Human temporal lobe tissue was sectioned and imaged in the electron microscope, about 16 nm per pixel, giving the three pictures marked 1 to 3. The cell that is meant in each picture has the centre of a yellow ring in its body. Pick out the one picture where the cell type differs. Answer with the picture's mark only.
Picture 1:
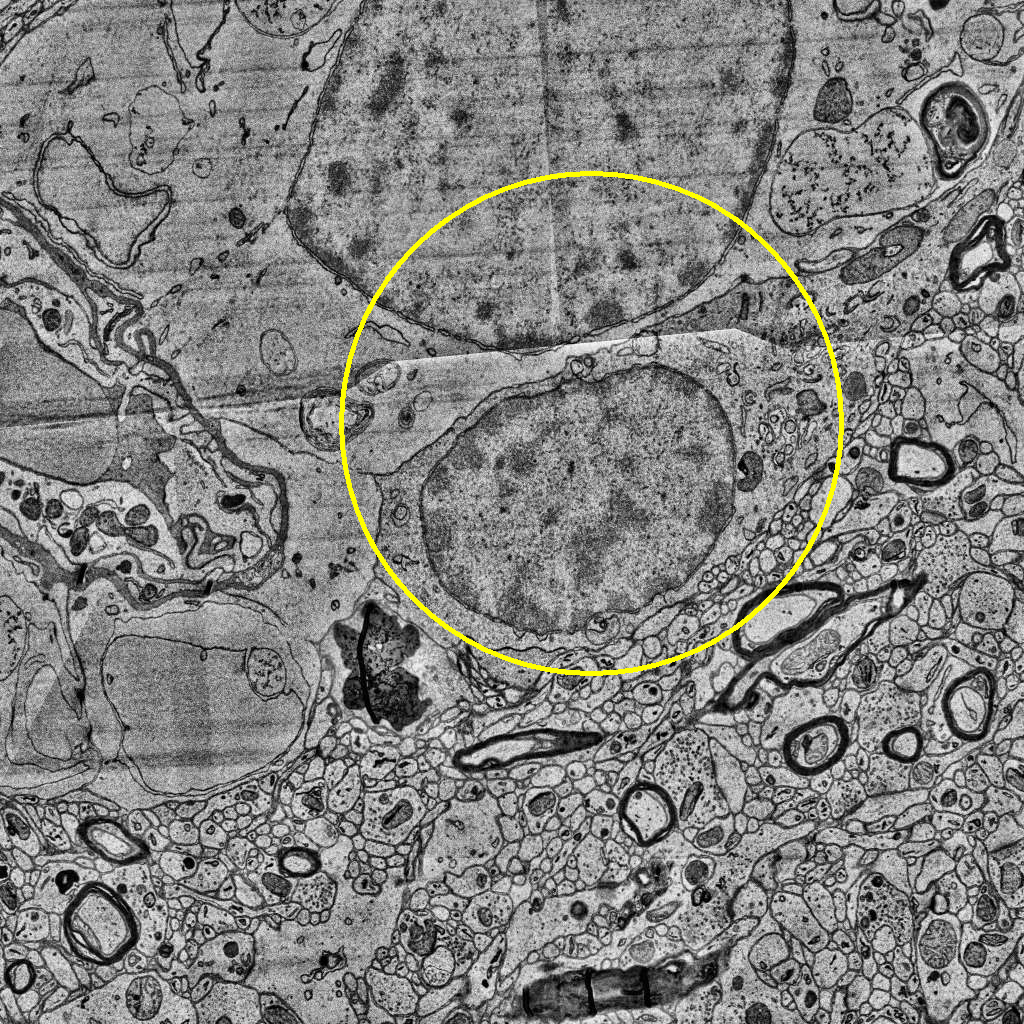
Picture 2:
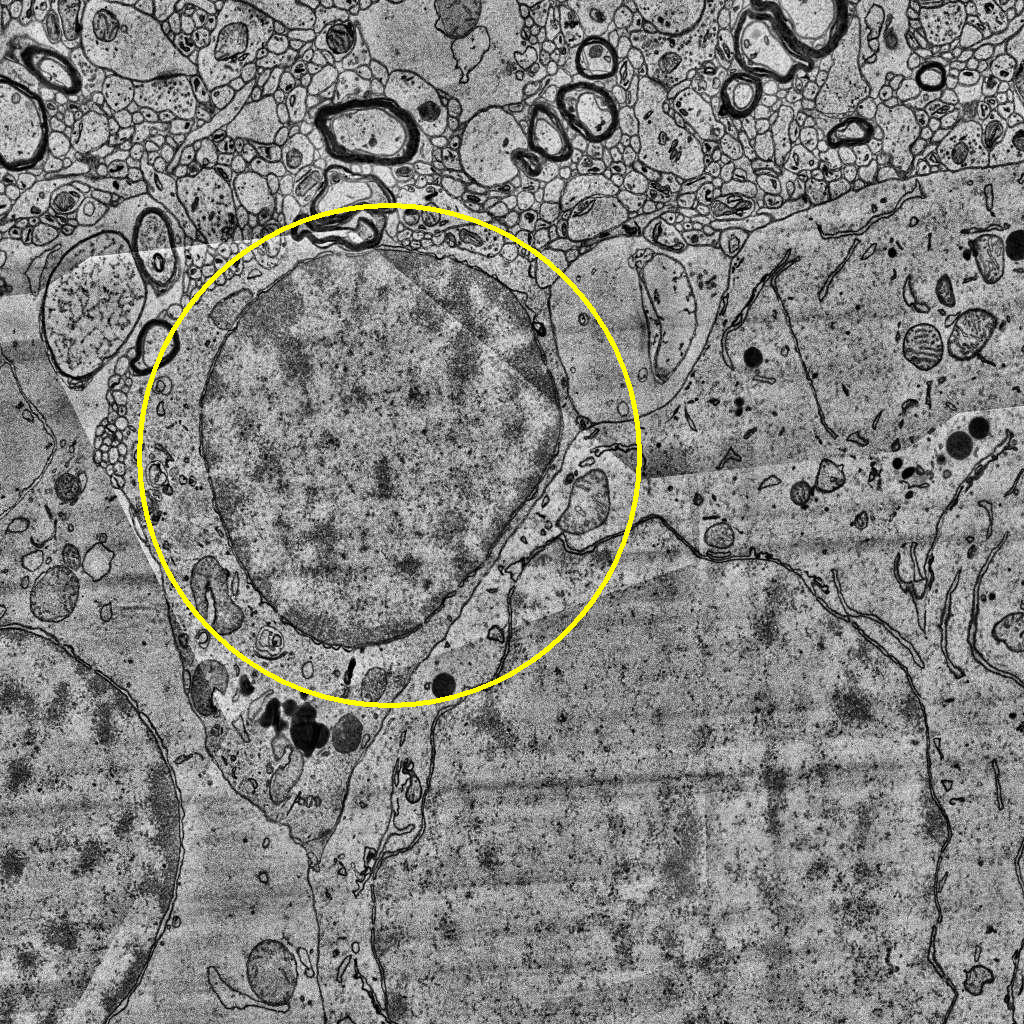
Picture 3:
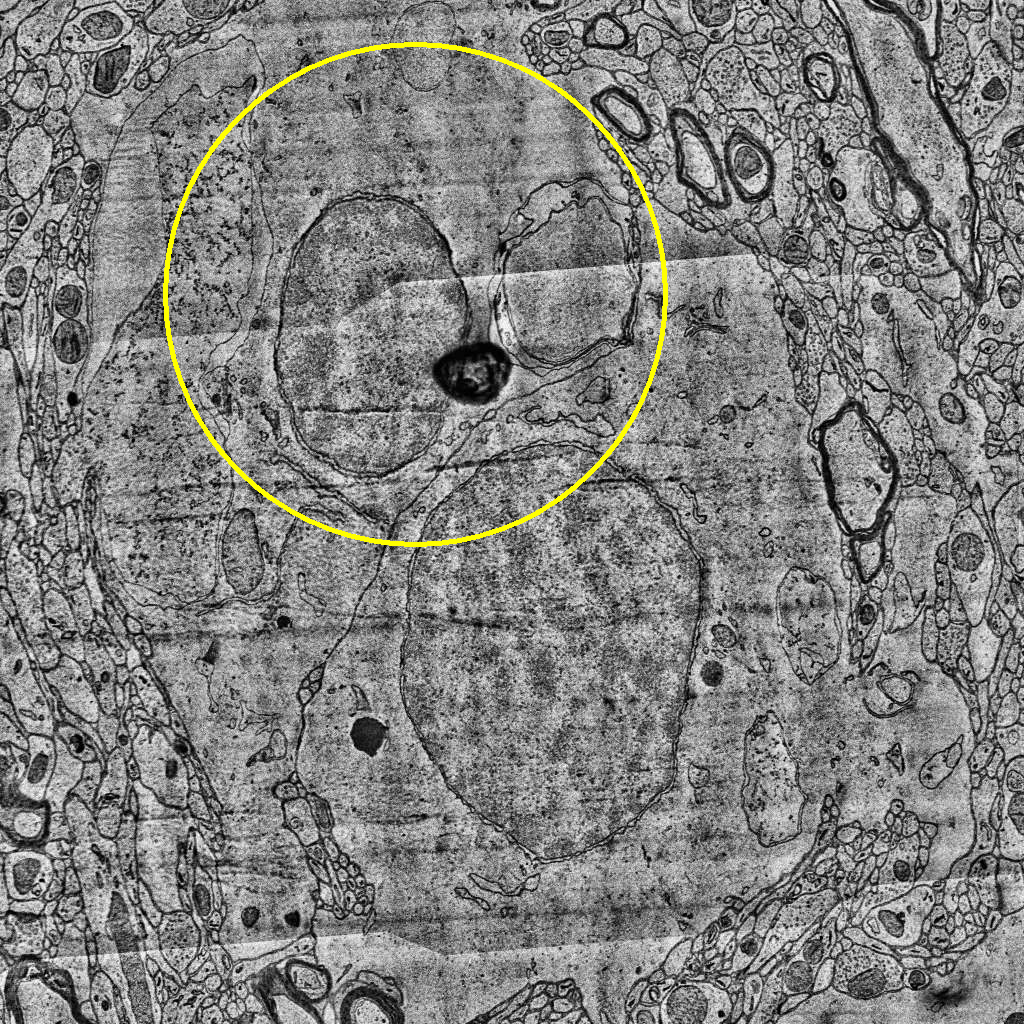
3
